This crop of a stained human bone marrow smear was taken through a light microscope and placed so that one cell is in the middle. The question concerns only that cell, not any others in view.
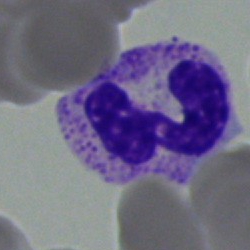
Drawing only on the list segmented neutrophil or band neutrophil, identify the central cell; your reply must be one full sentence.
Centrally within this crop lies a band neutrophil.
